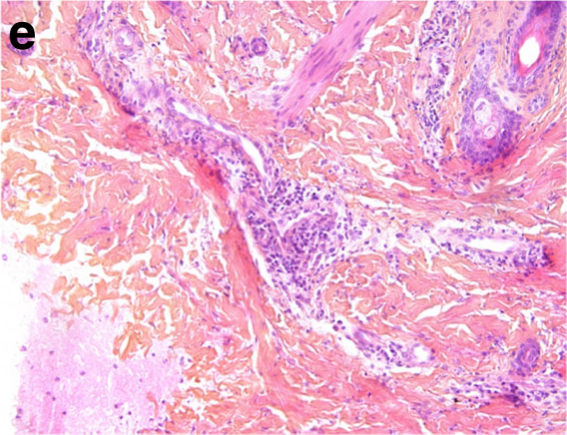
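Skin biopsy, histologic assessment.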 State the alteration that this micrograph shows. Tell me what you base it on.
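Perivascular lymphocytic infiltrate. Small round dark-purple nuclei cluster along a vessel running obliquely through the dermis. The surrounding dermis is made of pink collagen bundles with few cells.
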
